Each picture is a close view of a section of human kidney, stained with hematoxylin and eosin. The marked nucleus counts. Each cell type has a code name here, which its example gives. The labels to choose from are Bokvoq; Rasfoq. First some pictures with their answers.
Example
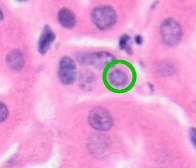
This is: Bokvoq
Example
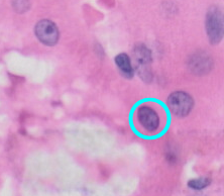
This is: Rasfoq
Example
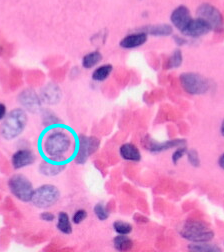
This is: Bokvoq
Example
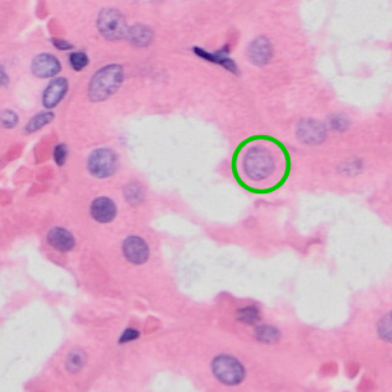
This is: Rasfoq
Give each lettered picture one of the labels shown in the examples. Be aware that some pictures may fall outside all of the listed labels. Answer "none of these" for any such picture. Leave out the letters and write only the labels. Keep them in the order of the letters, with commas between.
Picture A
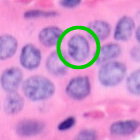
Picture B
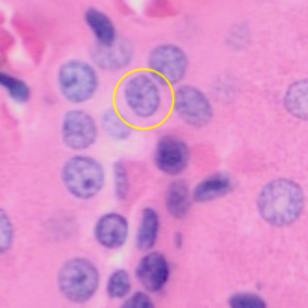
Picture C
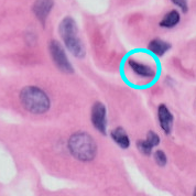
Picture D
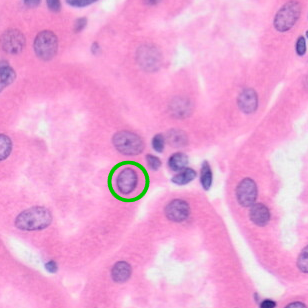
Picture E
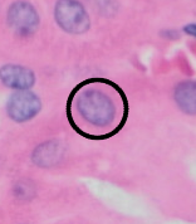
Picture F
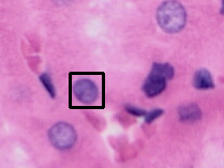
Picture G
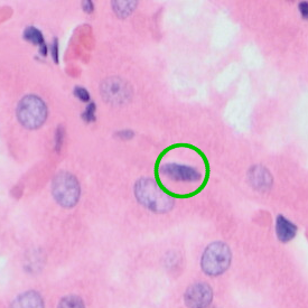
Bokvoq, Bokvoq, none of these, Rasfoq, Rasfoq, Rasfoq, none of these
